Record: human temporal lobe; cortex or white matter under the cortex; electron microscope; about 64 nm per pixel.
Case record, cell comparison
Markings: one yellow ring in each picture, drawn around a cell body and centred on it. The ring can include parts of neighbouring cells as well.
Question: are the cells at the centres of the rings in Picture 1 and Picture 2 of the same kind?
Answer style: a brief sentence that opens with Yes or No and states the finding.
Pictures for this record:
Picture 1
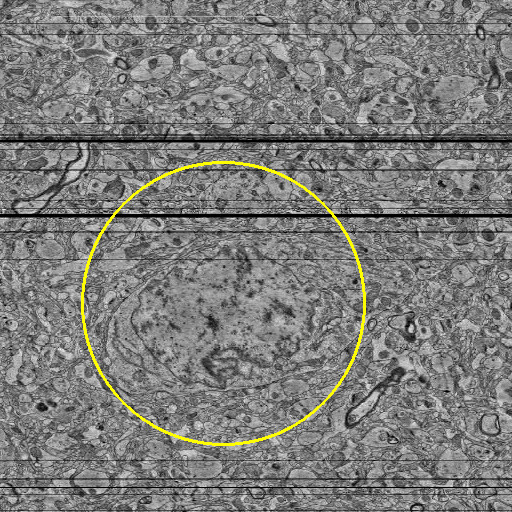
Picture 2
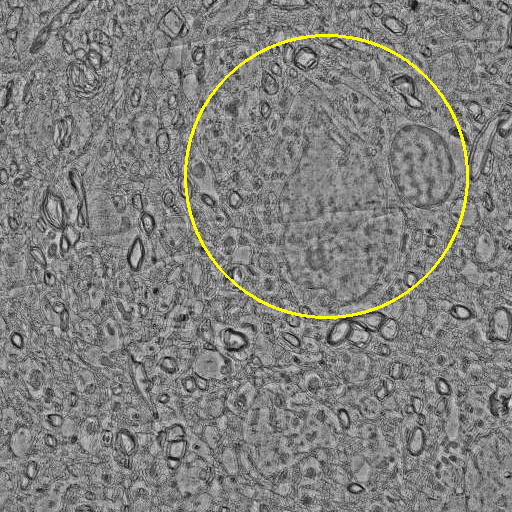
Yes, the cells in Picture 1 and Picture 2 are of the same kind.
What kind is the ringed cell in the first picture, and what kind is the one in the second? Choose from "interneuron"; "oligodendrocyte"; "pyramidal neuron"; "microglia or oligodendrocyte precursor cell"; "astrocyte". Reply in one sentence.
Both rings mark an interneuron, one in each picture.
